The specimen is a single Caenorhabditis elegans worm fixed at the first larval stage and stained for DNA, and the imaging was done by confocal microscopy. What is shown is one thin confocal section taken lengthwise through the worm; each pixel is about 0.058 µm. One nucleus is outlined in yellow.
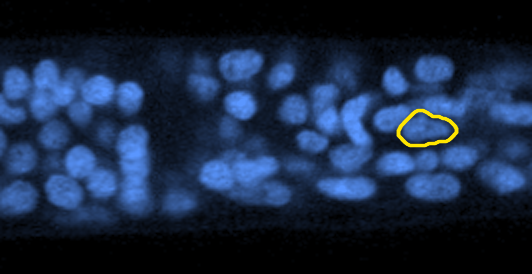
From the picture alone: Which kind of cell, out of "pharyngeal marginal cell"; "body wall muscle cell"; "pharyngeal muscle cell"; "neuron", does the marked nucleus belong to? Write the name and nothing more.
pharyngeal muscle cell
